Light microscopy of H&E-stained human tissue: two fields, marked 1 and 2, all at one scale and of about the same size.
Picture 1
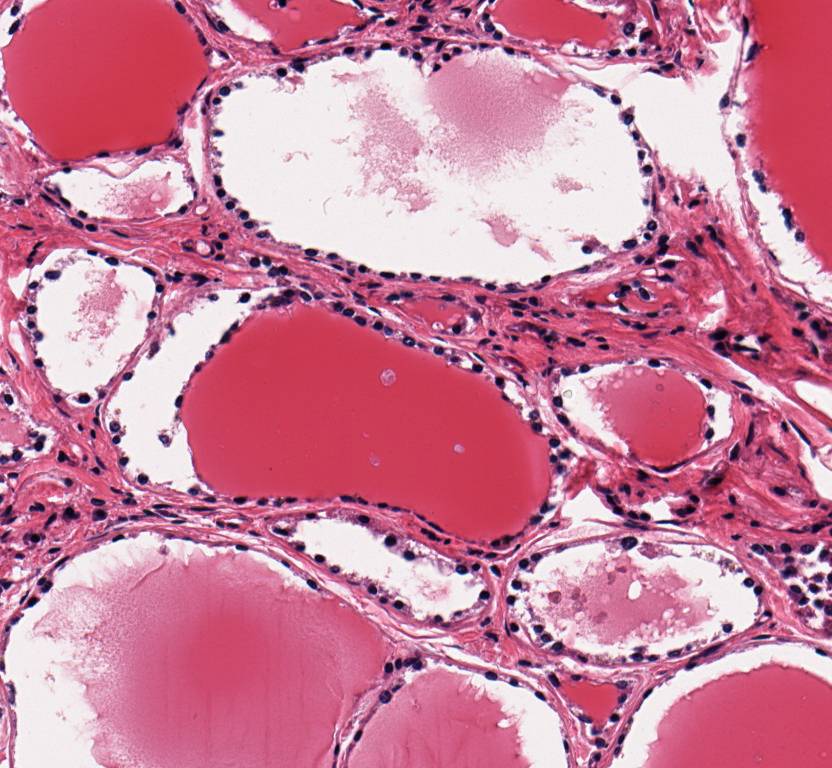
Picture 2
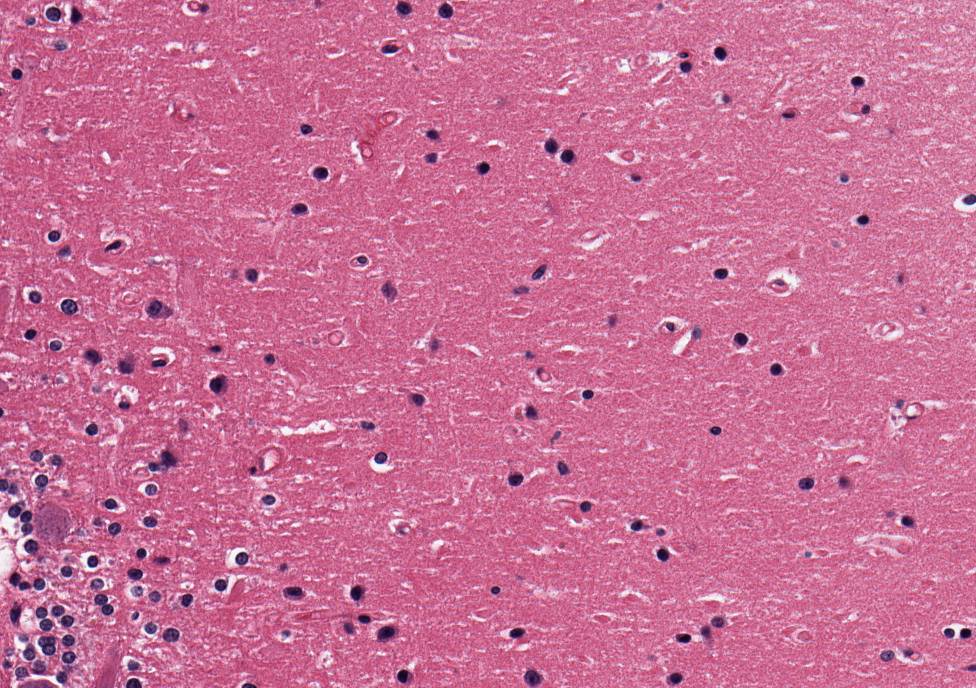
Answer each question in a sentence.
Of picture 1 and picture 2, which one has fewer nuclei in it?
It is picture 2 that has fewer nuclei in it.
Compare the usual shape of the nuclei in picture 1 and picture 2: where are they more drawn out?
It is picture 1 whose nuclei are the more elongated.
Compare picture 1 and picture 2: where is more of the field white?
More of picture 1 is empty and white.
